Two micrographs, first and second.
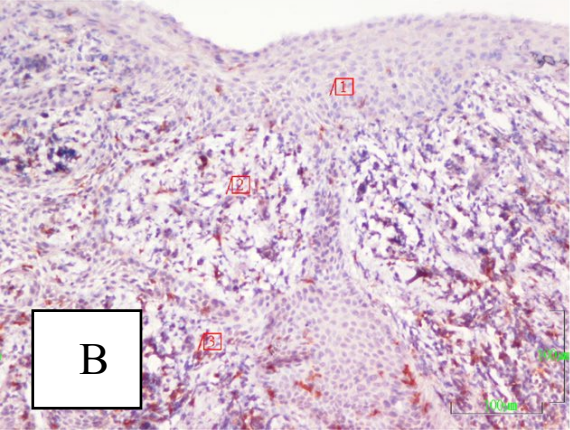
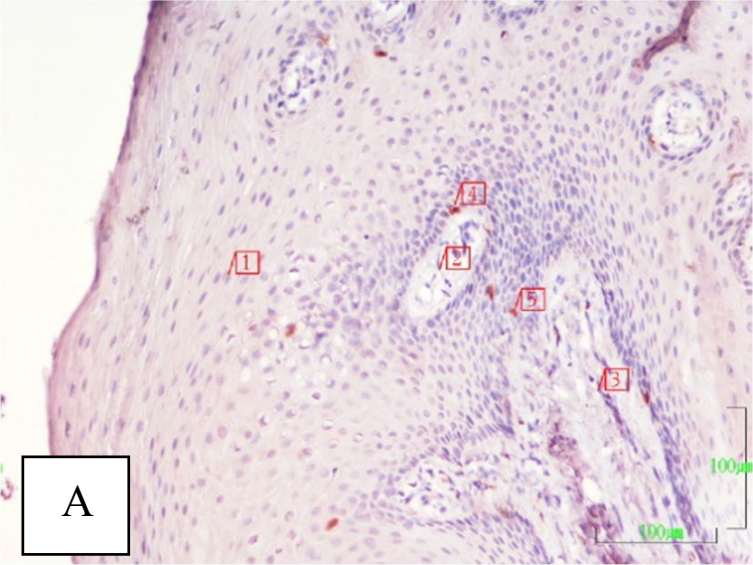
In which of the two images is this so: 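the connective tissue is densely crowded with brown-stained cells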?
The first image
